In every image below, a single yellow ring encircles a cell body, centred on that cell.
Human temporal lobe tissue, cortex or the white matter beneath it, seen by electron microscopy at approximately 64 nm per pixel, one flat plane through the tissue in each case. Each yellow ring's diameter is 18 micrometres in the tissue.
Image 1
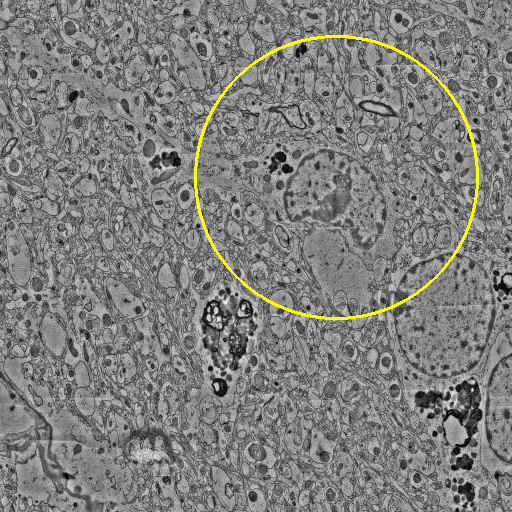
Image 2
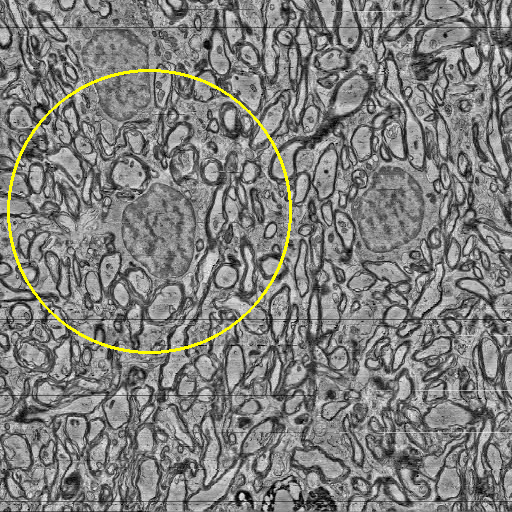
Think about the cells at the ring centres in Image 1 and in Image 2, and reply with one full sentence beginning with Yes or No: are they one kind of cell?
No, the cells centred in the rings of Image 1 and Image 2 are two kinds of cell.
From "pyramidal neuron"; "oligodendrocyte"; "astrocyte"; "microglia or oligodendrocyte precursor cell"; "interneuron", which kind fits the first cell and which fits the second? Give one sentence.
The cell marked in the first picture is an astrocyte, and the one marked in the second is an oligodendrocyte.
